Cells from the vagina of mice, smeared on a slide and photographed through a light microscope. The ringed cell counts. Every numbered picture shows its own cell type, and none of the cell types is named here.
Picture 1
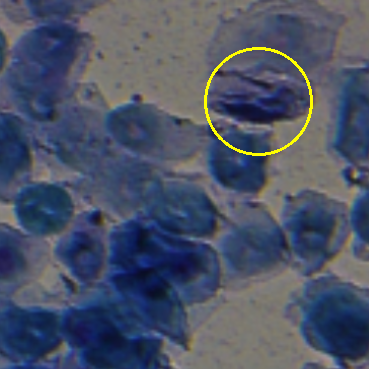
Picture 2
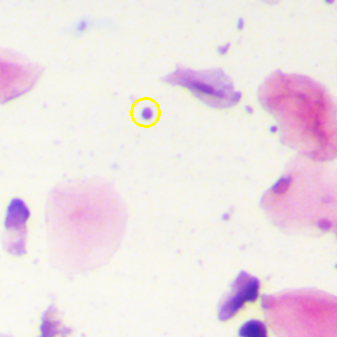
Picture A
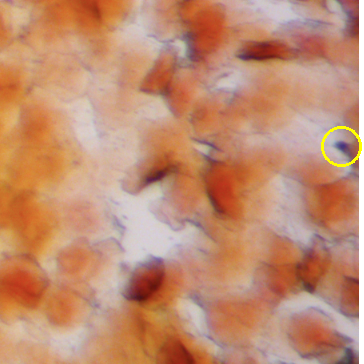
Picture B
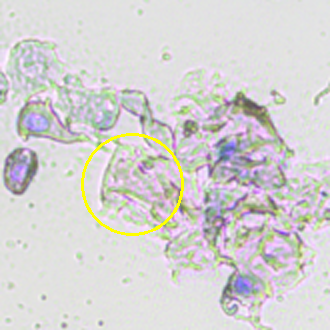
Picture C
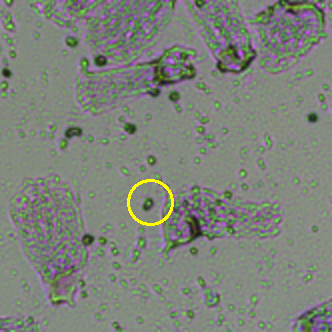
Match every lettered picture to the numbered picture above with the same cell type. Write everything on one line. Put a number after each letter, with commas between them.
A 2, B 1, C 2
